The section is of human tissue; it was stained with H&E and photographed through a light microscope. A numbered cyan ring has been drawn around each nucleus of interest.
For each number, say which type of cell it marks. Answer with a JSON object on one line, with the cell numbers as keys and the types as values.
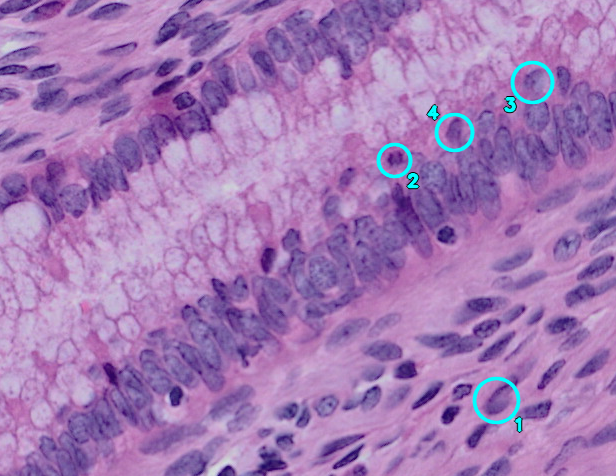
{"1": "fibroblast", "2": "secretory epithelial cell", "3": "secretory epithelial cell", "4": "secretory epithelial cell"}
